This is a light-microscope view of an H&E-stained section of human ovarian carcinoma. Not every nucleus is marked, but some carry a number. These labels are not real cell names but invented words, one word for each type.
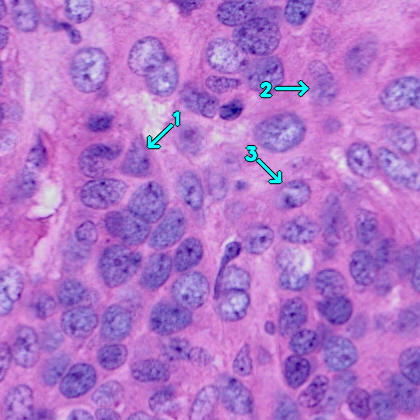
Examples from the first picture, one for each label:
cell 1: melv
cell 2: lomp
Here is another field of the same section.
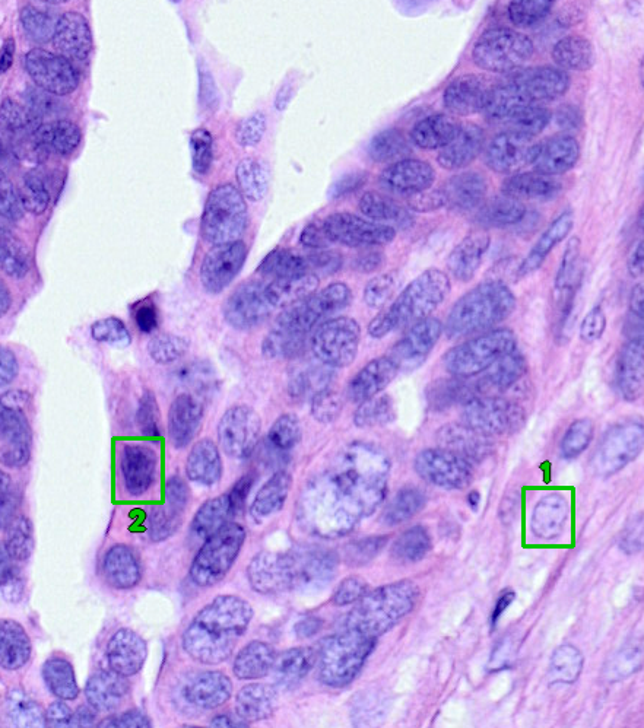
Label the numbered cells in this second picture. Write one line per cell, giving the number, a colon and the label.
1: lomp
2: melv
